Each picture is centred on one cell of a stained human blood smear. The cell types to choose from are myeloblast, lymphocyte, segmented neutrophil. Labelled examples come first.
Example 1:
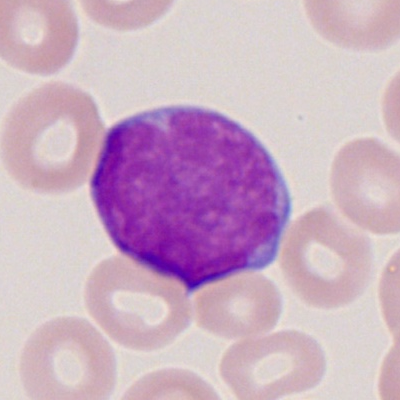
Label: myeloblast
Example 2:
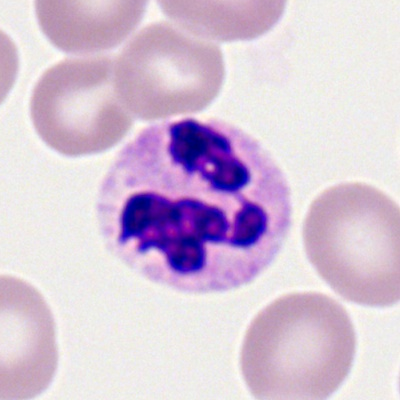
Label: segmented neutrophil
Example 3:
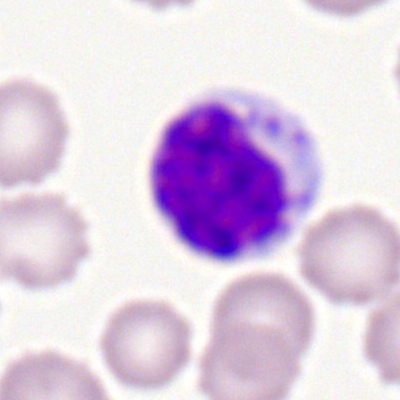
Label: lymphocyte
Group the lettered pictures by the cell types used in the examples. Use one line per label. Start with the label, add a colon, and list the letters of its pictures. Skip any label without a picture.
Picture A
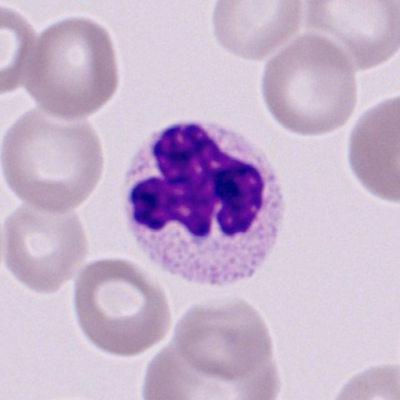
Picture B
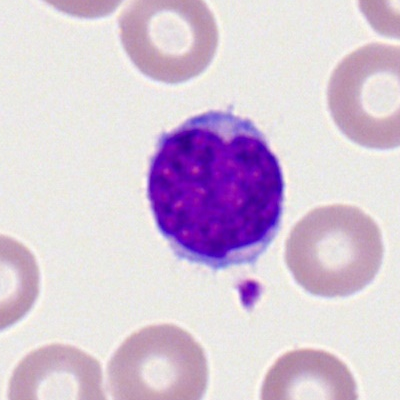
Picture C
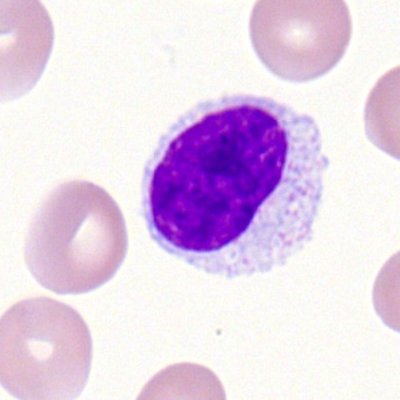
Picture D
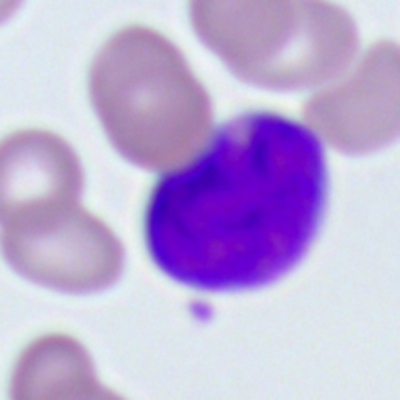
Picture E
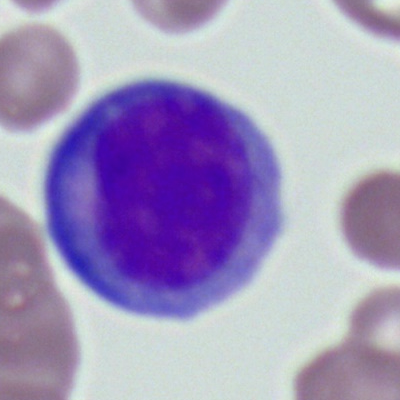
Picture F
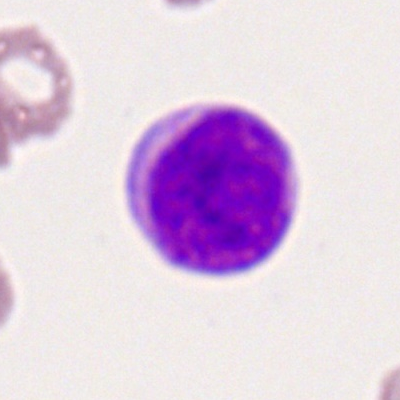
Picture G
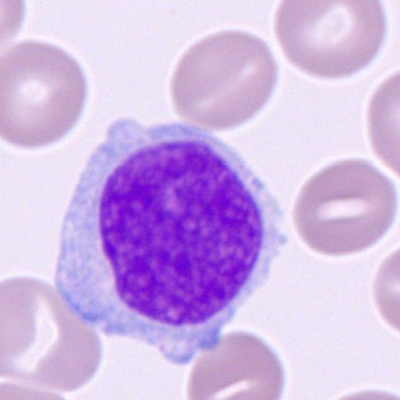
myeloblast: D, E, G
lymphocyte: B, C, F
segmented neutrophil: A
